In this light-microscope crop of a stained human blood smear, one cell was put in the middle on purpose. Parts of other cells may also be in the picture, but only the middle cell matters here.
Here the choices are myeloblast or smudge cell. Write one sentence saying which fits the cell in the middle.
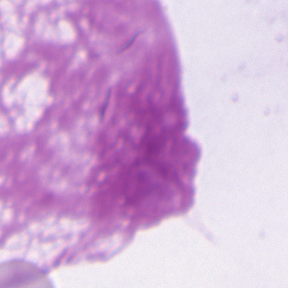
At the crop's centre, the cell is a smudge cell.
